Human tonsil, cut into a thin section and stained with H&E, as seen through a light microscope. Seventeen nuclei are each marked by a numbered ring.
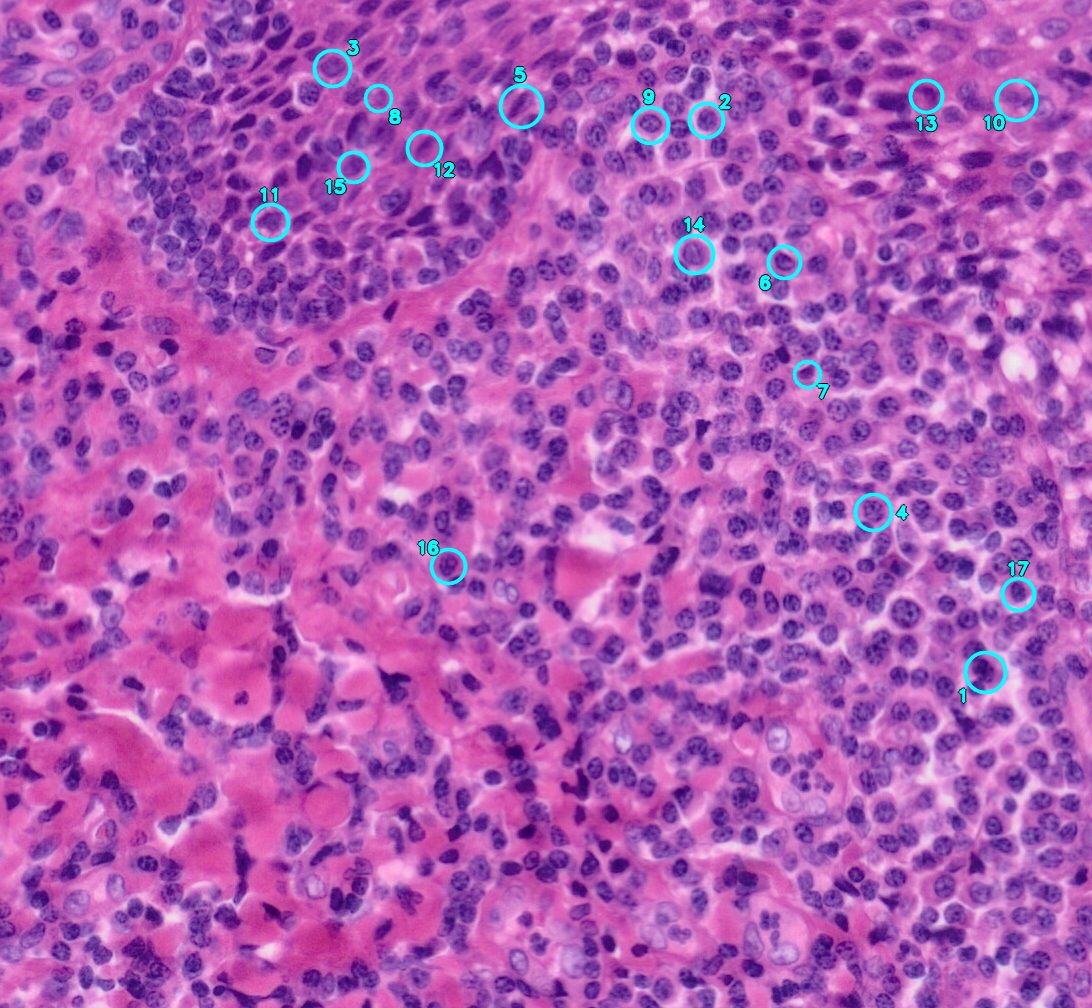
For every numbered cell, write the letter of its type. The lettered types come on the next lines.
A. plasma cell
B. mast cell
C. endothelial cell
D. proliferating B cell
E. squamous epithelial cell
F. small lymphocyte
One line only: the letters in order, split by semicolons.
A; A; E; A; E; A; A; E; A; E; E; E; E; A; E; A; A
